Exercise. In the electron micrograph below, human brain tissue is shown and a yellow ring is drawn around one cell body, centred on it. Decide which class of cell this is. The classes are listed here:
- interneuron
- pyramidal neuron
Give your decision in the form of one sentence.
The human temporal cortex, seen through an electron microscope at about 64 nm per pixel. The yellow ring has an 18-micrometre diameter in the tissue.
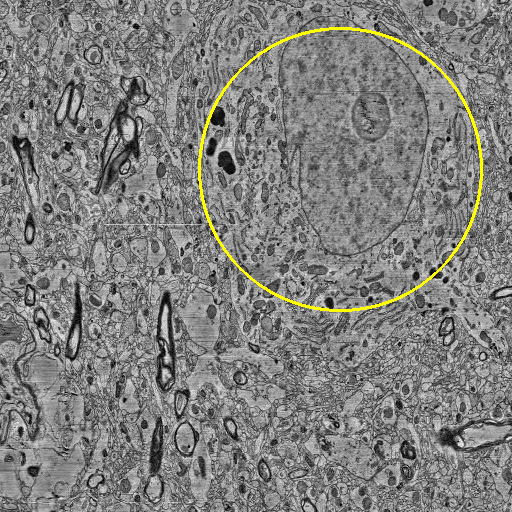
The cell body marked by the ring belongs to an interneuron.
